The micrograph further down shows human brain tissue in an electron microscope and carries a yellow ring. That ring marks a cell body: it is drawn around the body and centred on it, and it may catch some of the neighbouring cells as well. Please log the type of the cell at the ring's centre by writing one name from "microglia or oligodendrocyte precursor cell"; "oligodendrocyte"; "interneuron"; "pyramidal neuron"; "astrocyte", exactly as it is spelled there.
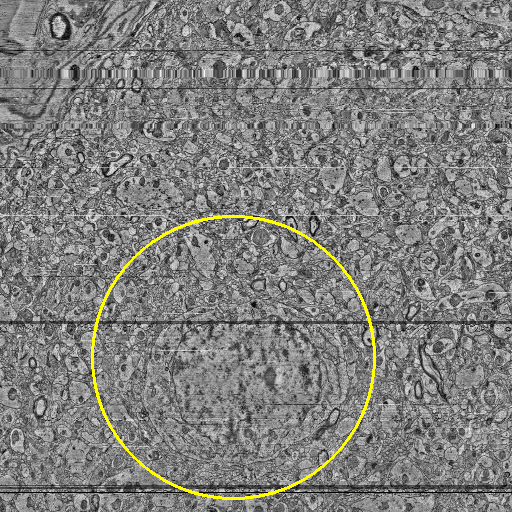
interneuron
